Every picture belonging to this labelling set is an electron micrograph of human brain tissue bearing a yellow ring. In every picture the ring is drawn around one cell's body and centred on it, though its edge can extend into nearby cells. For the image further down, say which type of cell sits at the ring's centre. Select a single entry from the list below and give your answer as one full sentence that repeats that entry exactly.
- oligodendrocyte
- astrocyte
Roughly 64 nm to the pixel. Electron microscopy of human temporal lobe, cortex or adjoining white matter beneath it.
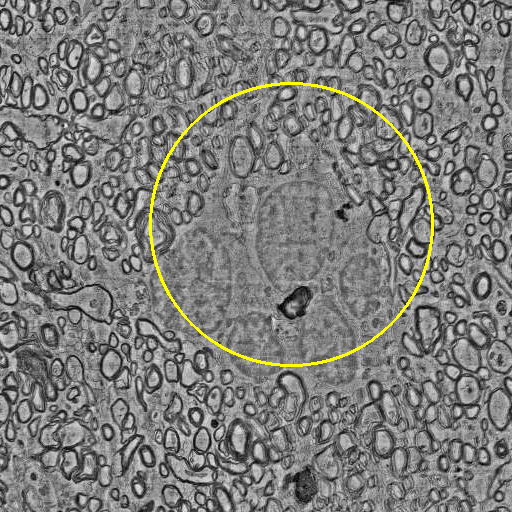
In the picture, an oligodendrocyte is the cell at the centre of the yellow ring.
